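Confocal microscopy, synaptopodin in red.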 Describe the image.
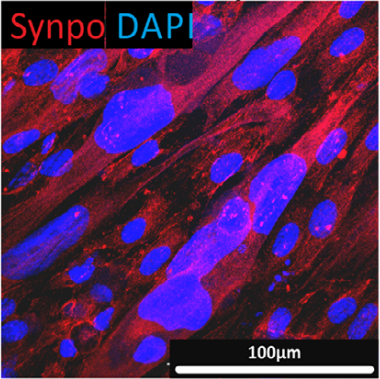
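These are cultured podocytes, large flat cells spread over the surface. The red signal fills the cytoplasm with fine fibrous streaks that run along the length of the cells. The cells are elongated and lie roughly parallel to one another in one direction. Nuclei are large and oval, and some are very large or appear grouped within one cell body.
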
